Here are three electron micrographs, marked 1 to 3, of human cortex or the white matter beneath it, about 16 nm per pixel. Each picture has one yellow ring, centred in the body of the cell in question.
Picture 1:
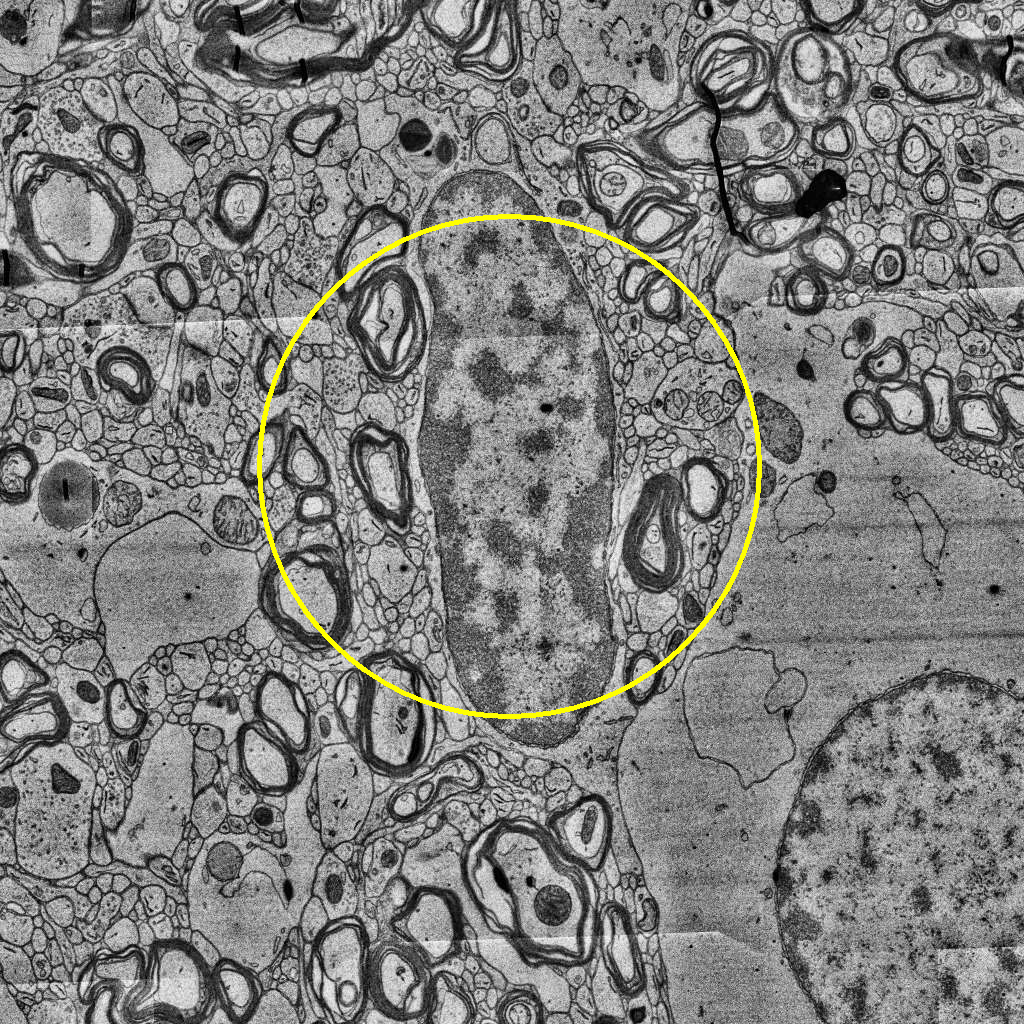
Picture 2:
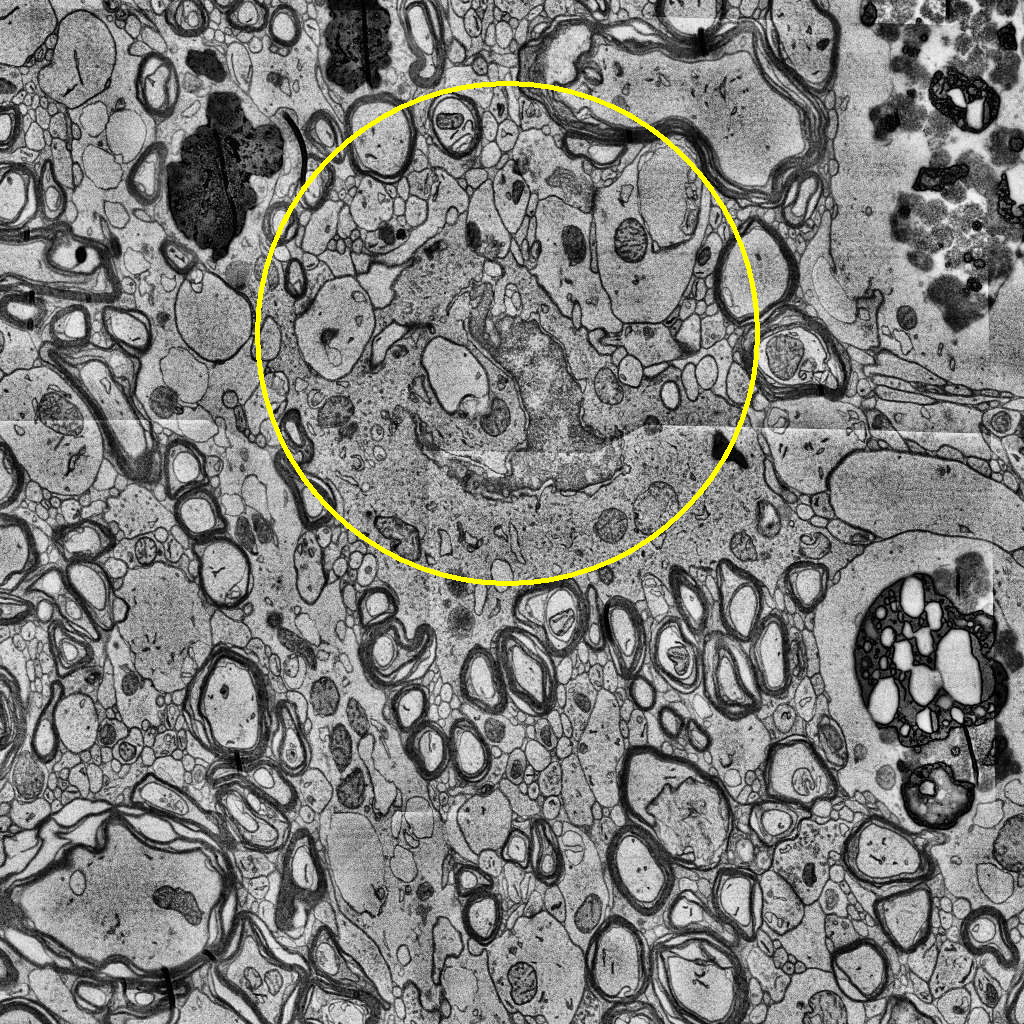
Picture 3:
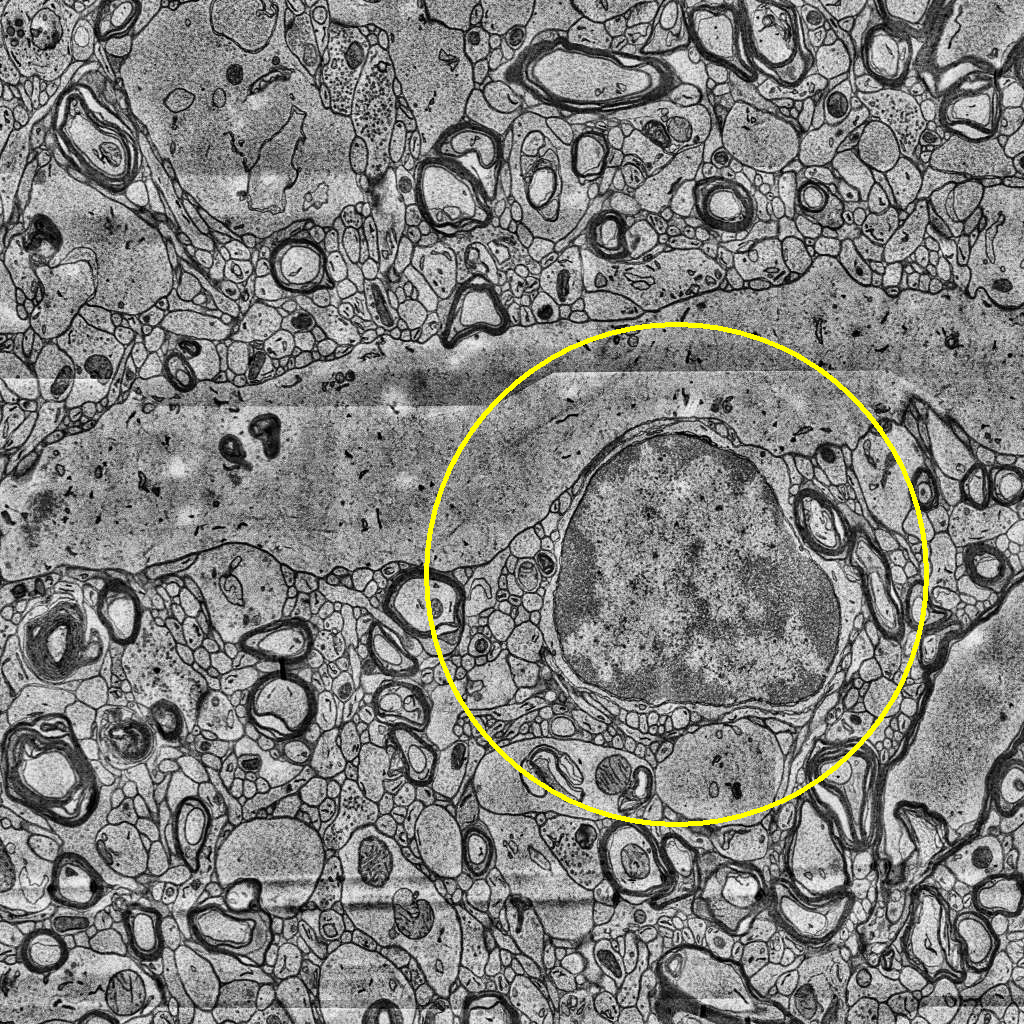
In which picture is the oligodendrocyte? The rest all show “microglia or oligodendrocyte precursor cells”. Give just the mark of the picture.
2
